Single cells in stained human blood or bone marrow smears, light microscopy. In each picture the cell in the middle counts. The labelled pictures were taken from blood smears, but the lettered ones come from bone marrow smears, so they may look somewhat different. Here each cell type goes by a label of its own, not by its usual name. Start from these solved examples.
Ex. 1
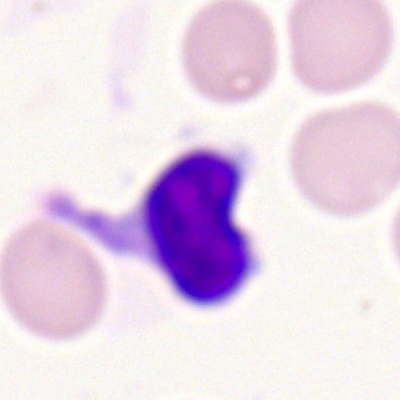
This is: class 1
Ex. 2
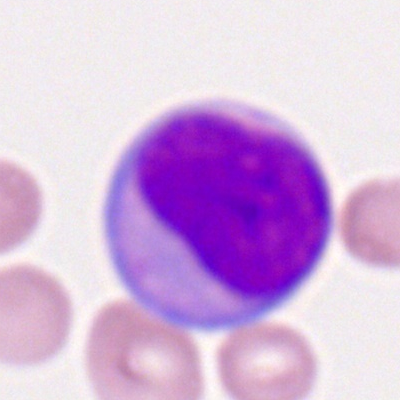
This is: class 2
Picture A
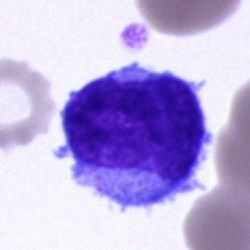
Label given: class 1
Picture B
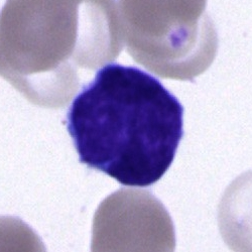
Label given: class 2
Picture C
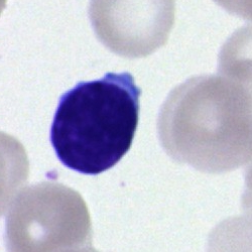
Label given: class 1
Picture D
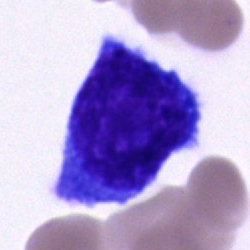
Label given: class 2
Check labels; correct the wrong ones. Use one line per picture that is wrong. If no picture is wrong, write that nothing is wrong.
A should be class 2, not class 1
B should be class 1, not class 2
